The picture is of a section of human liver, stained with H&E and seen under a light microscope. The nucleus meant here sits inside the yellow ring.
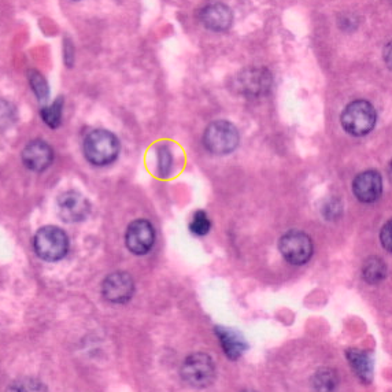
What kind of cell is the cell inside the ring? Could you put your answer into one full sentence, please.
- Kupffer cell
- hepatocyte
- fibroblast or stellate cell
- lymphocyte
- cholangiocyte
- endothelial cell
The cell type of the cell inside the ring is that of a Kupffer cell.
